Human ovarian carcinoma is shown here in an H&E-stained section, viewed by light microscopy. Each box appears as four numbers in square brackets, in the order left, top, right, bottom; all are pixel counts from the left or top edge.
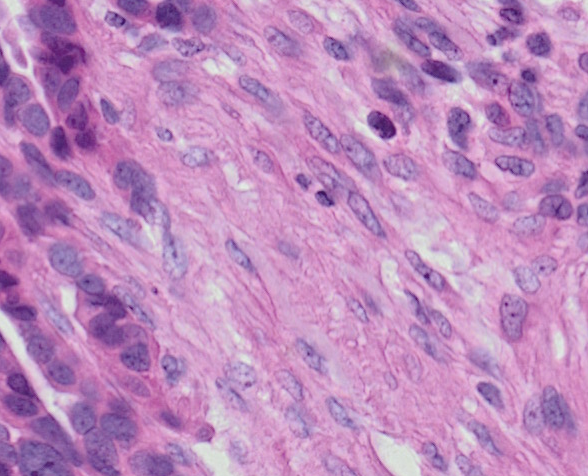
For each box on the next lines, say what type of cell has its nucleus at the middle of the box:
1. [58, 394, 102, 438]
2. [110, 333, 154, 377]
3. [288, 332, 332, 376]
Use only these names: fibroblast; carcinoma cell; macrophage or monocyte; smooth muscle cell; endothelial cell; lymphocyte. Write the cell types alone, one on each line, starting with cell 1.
carcinoma cell
carcinoma cell
fibroblast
